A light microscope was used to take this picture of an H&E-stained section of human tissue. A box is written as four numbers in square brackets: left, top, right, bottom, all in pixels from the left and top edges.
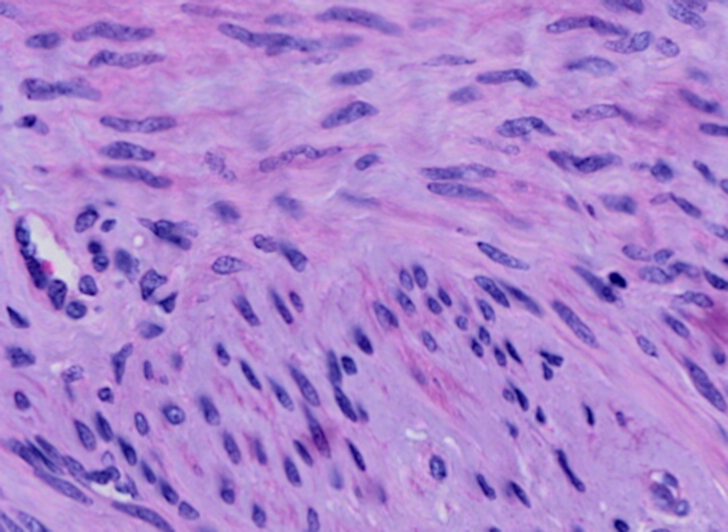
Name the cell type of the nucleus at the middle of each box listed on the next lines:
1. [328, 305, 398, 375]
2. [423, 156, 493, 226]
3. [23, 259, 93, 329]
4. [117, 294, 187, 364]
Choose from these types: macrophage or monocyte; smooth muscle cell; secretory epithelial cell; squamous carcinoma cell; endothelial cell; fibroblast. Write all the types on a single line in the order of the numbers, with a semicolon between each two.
fibroblast; smooth muscle cell; endothelial cell; fibroblast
